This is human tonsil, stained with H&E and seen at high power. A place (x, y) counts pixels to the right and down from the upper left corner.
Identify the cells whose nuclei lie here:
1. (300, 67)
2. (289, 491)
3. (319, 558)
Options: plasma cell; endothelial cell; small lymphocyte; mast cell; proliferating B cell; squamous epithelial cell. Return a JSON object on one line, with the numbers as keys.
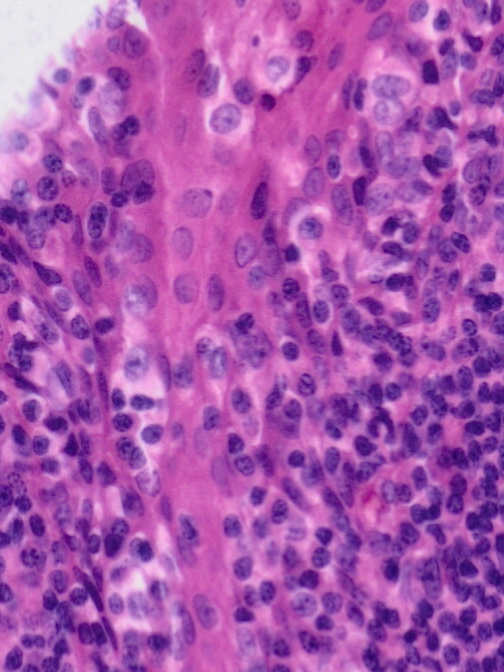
{"1": "squamous epithelial cell", "2": "squamous epithelial cell", "3": "plasma cell"}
